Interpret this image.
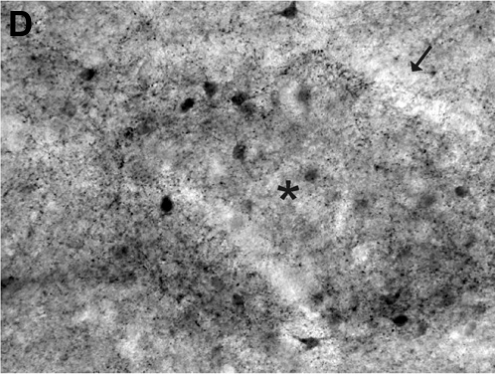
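The cell bodies are small and rounded, fewer than in a cell-packed patch, and lie amid grey neuropil. A pale oblique band outlines the patch, and outside it the surrounding tissue is also covered in fine dark puncta, so the patch stands out mainly by its cell bodies and darker neuropil.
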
